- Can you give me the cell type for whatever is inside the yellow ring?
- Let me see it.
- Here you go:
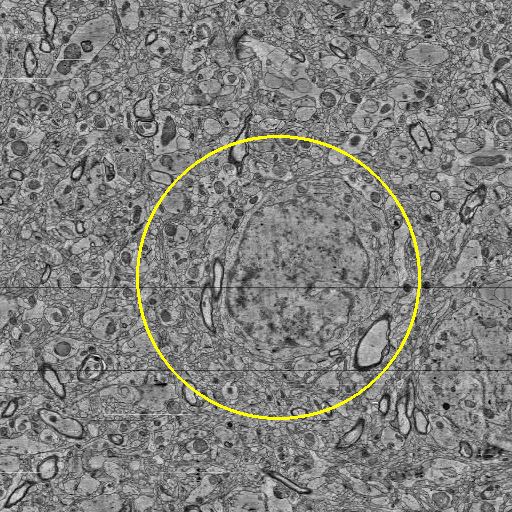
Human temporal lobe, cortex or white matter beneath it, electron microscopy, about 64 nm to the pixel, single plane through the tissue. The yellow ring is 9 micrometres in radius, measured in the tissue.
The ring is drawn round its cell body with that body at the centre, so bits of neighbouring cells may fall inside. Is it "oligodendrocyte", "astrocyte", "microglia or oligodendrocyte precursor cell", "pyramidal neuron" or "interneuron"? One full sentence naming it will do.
The cell body in the middle of the ring in this picture belongs to an interneuron.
